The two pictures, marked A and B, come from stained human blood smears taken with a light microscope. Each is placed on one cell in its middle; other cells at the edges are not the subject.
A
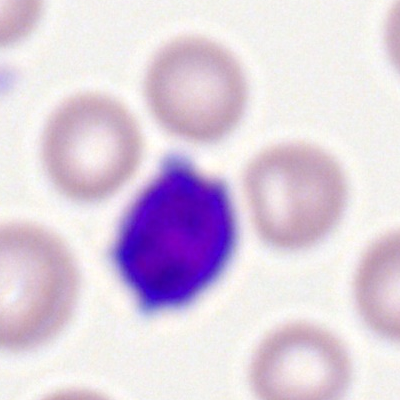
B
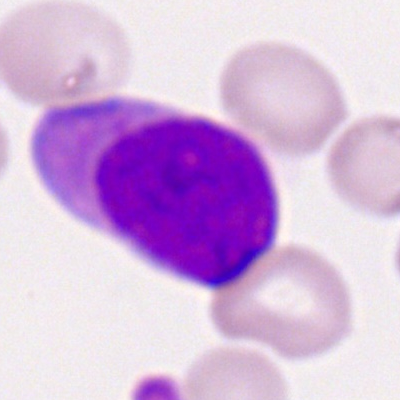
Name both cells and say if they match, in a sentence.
No, just to correct that: crop A shows a lymphocyte, crop B shows a myeloblast.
